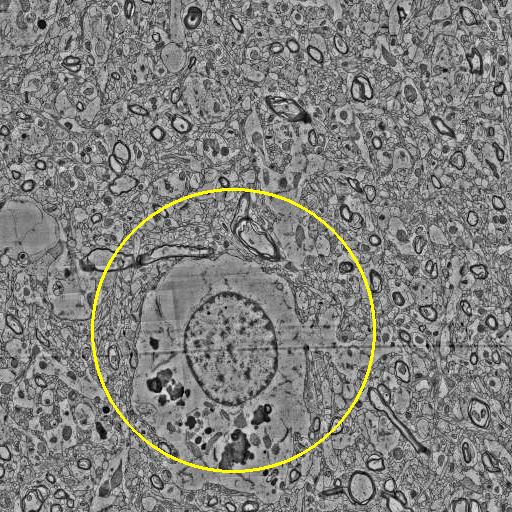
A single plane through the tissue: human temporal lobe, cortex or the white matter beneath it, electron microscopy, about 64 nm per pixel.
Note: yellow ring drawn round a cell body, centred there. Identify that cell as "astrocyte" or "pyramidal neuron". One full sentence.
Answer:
The cell in the middle of the ring is an astrocyte.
